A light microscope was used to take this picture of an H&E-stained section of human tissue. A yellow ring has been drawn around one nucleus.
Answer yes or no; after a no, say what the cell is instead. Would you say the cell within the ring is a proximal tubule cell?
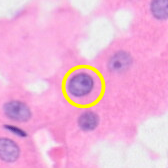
Yes.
